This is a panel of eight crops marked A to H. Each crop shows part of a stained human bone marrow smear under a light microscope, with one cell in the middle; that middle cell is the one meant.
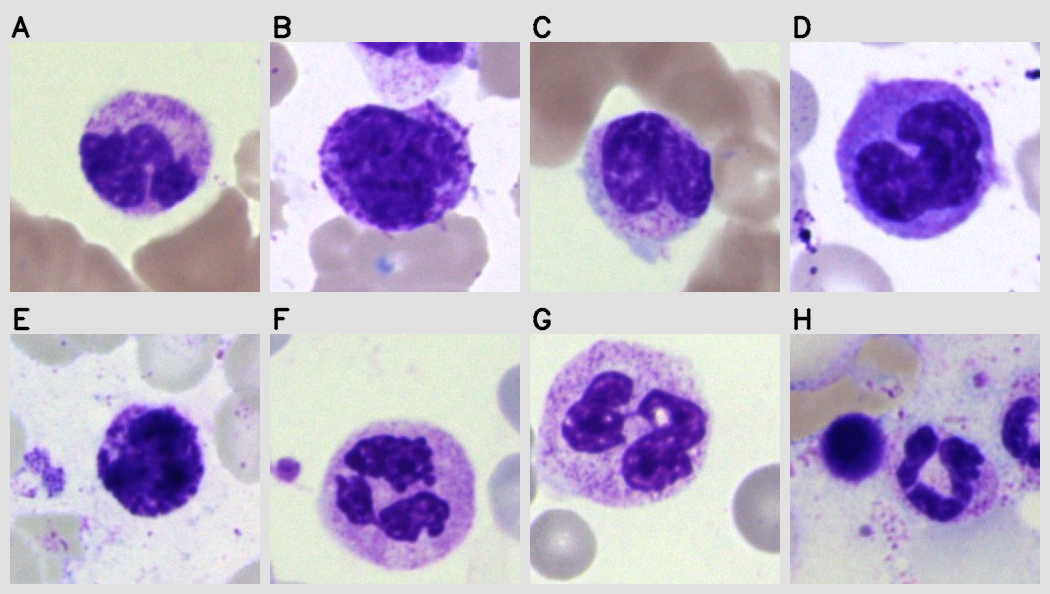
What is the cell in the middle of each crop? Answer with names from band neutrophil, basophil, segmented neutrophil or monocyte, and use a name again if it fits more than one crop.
A: segmented neutrophil
B: basophil
C: band neutrophil
D: monocyte
E: basophil
F: segmented neutrophil
G: segmented neutrophil
H: segmented neutrophil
